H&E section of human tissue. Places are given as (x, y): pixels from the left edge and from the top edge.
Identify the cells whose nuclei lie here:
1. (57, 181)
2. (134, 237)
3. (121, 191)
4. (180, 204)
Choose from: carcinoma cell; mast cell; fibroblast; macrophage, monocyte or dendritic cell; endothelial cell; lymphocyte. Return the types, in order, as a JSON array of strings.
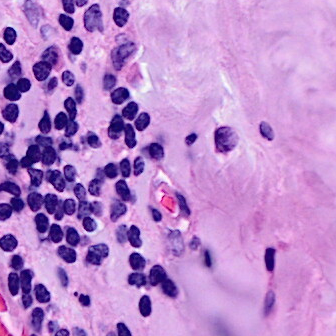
["lymphocyte", "lymphocyte", "lymphocyte", "endothelial cell"]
